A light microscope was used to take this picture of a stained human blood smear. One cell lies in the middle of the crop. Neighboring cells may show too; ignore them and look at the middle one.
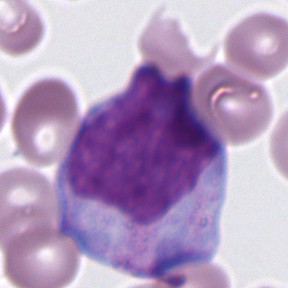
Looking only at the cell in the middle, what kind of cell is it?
atypical promyelocyte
